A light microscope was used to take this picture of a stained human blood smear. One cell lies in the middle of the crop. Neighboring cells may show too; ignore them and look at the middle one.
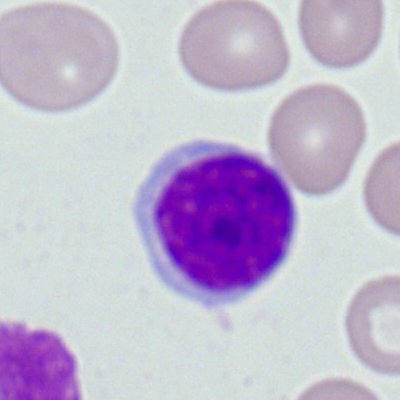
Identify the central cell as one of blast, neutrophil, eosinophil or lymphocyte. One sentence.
In this crop, the cell at the very middle is a lymphocyte.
